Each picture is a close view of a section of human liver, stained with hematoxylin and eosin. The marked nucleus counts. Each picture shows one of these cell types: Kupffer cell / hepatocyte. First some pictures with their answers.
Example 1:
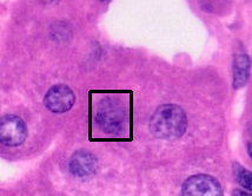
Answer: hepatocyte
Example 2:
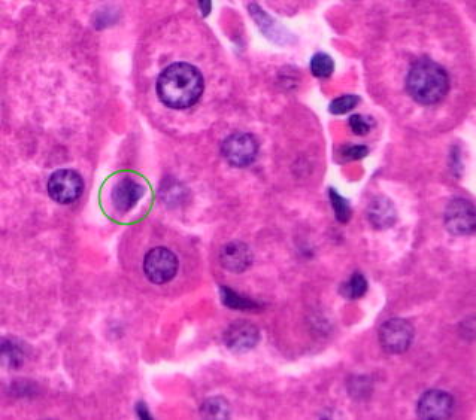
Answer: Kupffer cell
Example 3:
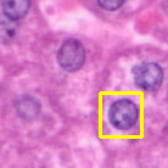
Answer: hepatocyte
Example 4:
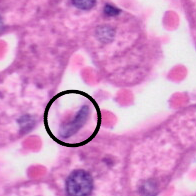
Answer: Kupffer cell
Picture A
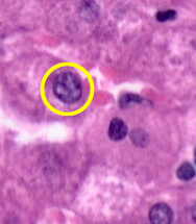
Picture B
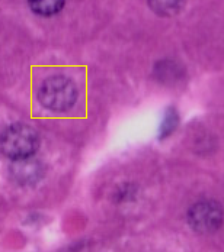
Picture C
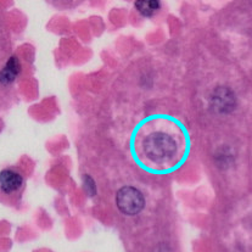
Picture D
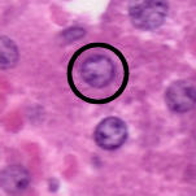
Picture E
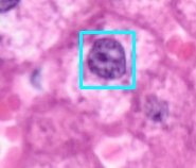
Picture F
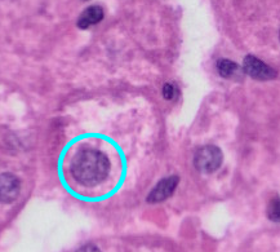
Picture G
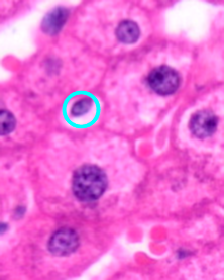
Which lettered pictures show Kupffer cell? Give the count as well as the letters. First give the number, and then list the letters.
1: G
